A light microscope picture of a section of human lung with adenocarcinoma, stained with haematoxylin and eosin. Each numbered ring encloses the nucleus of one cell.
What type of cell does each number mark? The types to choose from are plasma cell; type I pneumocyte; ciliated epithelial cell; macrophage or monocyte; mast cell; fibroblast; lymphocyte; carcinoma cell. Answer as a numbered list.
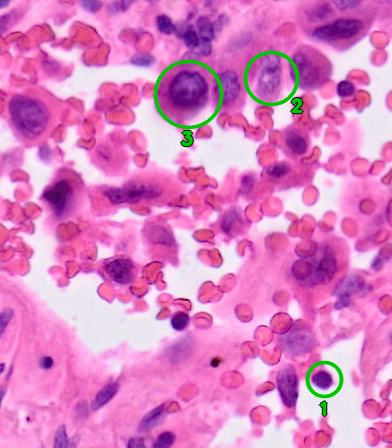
1. lymphocyte
2. carcinoma cell
3. carcinoma cell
